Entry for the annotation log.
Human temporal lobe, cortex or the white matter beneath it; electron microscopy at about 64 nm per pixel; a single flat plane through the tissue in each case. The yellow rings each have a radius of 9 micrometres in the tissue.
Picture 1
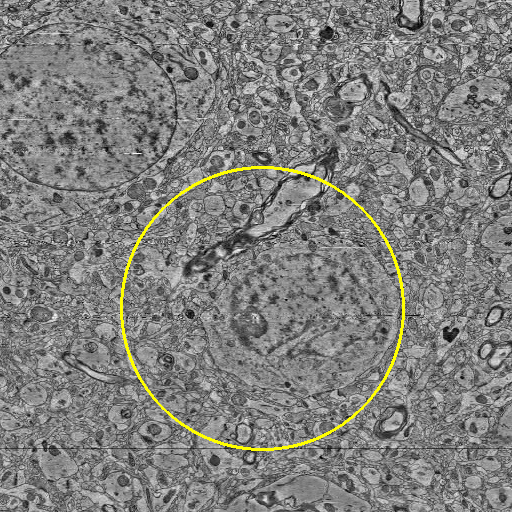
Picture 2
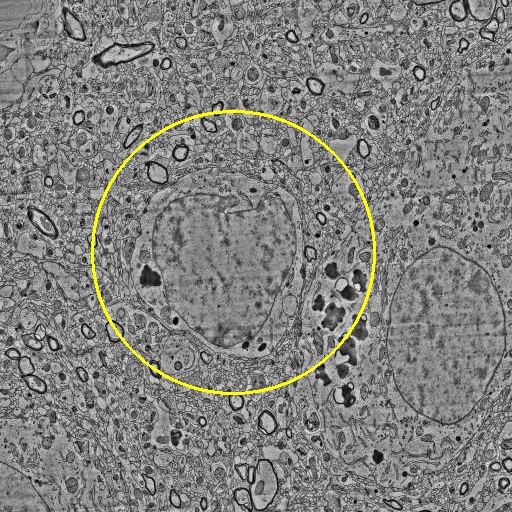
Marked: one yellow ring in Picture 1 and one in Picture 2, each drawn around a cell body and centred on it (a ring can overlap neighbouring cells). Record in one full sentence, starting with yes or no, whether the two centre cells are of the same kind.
Yes, both cells are of the same kind.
